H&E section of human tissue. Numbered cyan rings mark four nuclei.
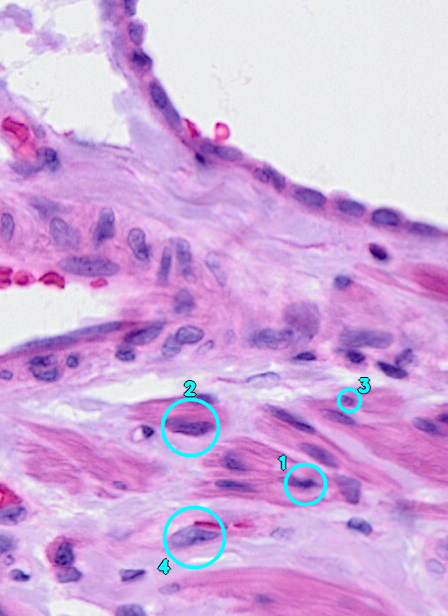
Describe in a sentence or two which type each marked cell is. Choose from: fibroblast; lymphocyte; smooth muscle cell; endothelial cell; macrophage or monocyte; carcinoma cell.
Cells 1, 2 and 3 are smooth muscle cells. Cell 4 is an endothelial cell.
